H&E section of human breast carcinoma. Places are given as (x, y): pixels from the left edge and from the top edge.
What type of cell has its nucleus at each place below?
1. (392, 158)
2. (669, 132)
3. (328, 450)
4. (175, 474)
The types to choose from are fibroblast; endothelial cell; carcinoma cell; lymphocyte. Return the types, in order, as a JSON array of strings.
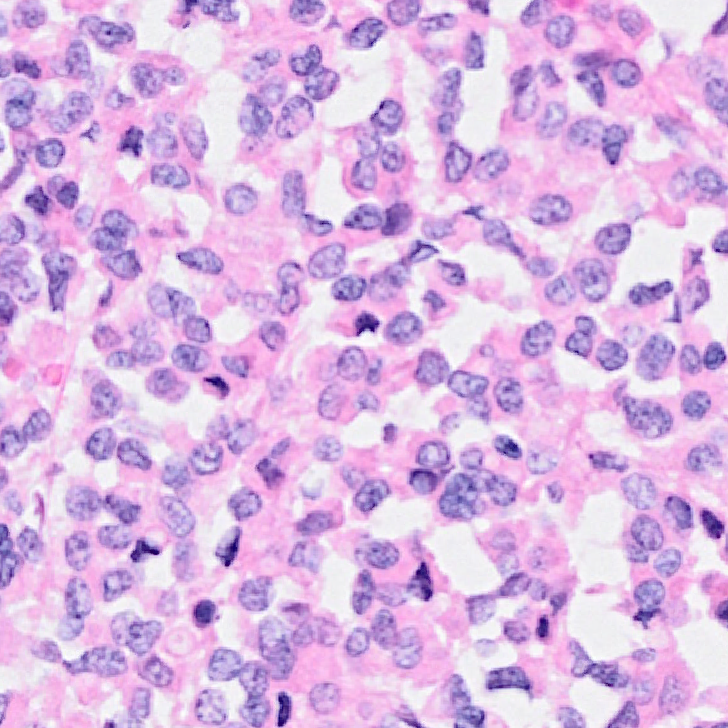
["carcinoma cell", "fibroblast", "carcinoma cell", "carcinoma cell"]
